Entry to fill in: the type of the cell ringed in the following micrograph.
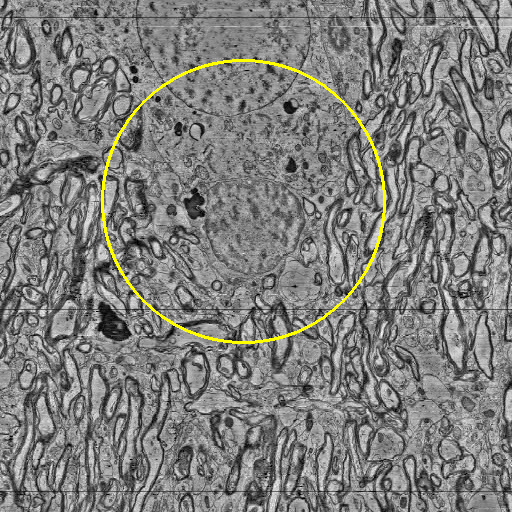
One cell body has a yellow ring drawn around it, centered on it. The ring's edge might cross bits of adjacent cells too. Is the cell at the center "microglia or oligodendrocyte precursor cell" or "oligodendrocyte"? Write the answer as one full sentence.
This entry names an oligodendrocyte as the cell whose body lies at the ring's center.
